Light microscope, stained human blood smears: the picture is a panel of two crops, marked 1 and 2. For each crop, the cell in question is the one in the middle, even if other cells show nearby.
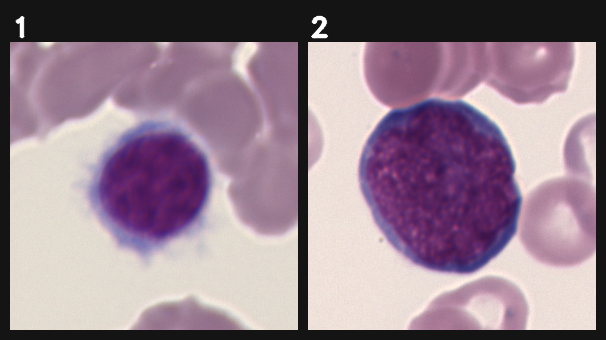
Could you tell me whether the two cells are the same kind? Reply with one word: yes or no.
no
